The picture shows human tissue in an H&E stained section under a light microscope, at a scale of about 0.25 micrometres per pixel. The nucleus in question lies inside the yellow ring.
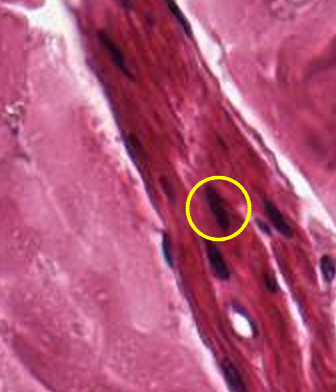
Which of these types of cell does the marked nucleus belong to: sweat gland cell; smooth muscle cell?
smooth muscle cell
